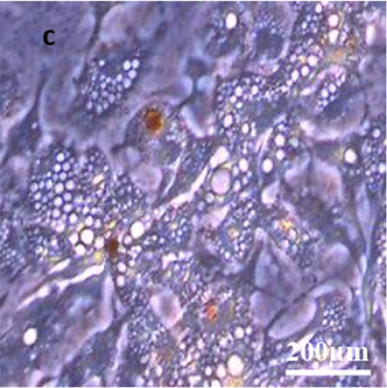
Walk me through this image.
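The cytoplasm of most cells is packed with numerous small, round, clear, refractile droplets, clustered into rounded groups that fill much of each cell body; some droplets are larger and stand out singly. Cell outlines are faintly purplish and nuclei are hard to make out beneath the droplets. A few scattered small reddish-brown spots are visible among the cells.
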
